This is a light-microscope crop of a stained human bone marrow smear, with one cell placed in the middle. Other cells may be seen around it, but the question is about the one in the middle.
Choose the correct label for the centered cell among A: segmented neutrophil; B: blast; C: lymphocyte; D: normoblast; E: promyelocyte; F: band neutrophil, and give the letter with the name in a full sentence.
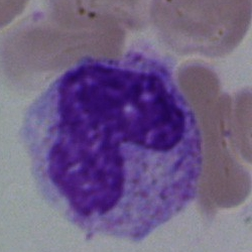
Option F is the right one, for the cell in the middle is a band neutrophil.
